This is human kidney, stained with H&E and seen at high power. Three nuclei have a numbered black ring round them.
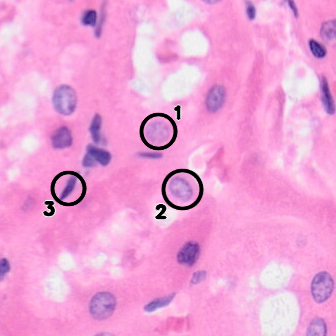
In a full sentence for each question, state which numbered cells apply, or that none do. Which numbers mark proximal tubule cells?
In this section, the cells labelled 1 and 2 are proximal tubule cells.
